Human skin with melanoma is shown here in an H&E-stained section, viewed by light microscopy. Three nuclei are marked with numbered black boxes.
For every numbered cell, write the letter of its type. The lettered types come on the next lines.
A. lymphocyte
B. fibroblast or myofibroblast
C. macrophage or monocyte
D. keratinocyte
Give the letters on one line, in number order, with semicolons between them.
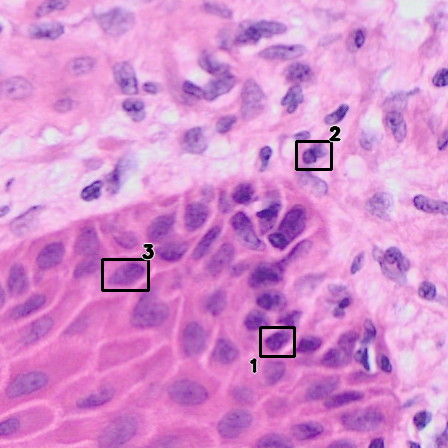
D; A; D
